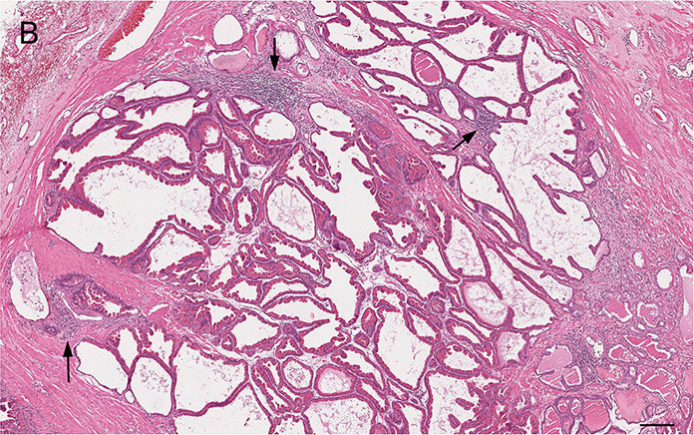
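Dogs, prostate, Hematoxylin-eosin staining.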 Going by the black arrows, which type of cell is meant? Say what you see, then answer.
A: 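Inflammatory cells. The arrows point to dense clusters of small, dark-purple nuclei. The clusters lie in the pink stroma between glands. The clustered cells are much smaller and more crowded than the gland-lining cells.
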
